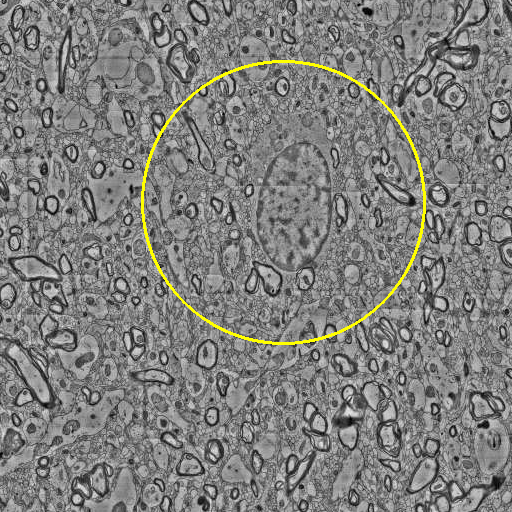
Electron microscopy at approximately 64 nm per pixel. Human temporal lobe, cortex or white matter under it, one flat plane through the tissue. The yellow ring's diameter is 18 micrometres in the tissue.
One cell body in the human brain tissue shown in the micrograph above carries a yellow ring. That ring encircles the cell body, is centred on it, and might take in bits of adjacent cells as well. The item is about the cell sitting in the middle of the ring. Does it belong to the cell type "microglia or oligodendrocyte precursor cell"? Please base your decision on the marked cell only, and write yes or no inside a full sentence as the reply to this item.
No, the cell in the centre of the yellow ring belongs to a different kind.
